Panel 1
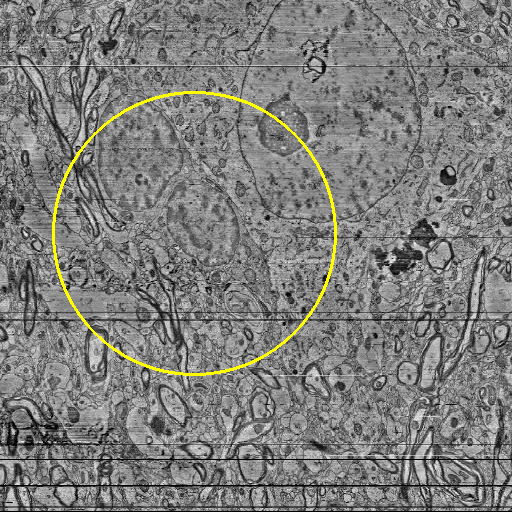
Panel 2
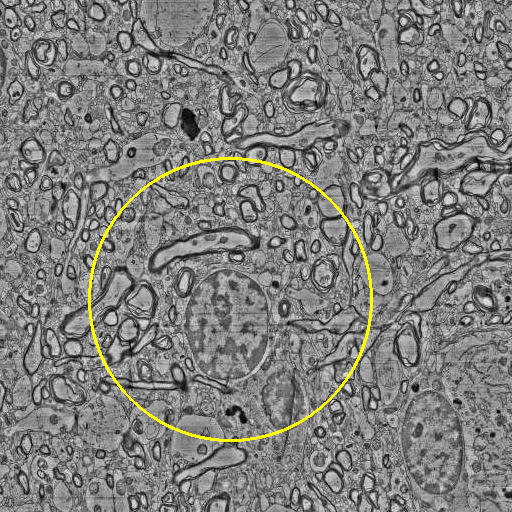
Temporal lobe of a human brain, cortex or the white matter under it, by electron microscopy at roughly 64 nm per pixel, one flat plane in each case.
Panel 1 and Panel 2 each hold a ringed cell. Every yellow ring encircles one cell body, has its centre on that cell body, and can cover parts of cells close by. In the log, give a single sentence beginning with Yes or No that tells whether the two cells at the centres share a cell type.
No, in Panel 1 and Panel 2 the centred cells are of two cell types.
